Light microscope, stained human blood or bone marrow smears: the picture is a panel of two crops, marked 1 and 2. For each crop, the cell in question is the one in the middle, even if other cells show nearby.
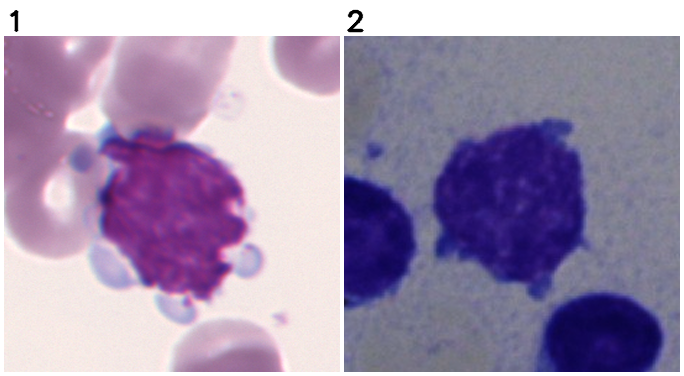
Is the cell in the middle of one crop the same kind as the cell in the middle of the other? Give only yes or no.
yes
